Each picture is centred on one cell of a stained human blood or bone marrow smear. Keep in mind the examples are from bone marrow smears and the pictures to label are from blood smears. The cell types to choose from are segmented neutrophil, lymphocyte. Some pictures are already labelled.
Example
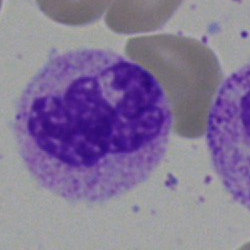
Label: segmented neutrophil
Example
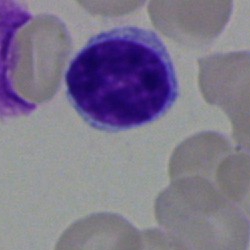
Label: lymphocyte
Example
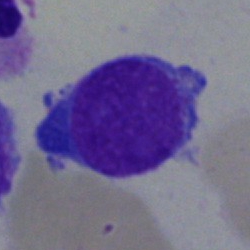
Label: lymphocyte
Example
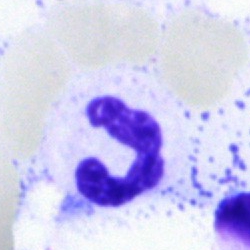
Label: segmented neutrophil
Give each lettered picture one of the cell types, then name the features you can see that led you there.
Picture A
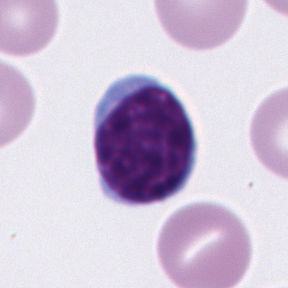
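lymphocyte. Evidence: The cytoplasm is scant and is widest as a crescent at the upper left.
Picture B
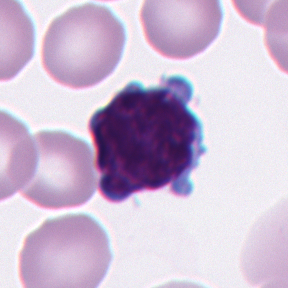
lymphocyte. Evidence: The cytoplasm is scant and pale blue.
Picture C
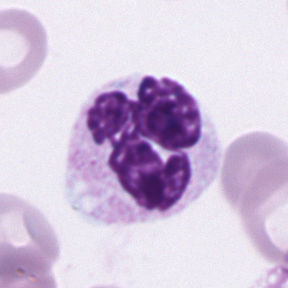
segmented neutrophil. Evidence: The nucleus is split into three or more separate lobes.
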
